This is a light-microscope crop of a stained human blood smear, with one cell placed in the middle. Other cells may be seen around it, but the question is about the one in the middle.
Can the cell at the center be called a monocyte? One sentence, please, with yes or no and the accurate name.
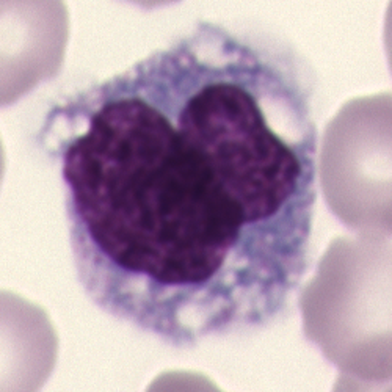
Yes, the cell at the centre is designated a monocyte.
